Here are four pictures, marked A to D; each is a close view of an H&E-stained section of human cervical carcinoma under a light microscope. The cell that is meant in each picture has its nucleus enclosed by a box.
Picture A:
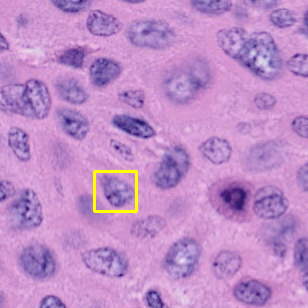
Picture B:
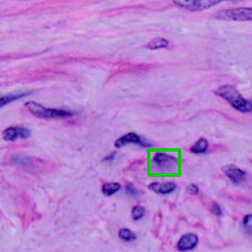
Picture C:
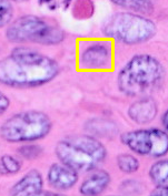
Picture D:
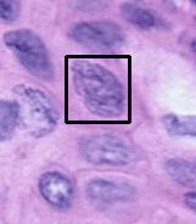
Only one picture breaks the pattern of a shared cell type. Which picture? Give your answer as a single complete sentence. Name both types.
Picture B differs, because its cell is a smooth muscle cell and the rest are squamous carcinoma cells.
